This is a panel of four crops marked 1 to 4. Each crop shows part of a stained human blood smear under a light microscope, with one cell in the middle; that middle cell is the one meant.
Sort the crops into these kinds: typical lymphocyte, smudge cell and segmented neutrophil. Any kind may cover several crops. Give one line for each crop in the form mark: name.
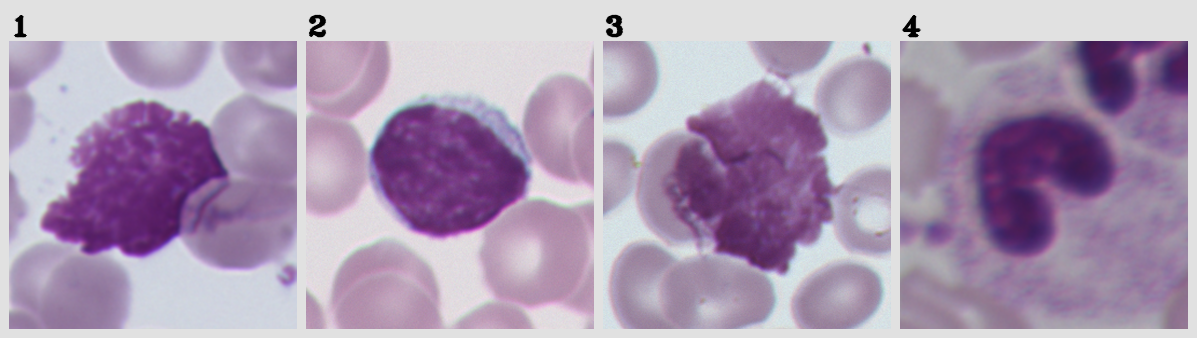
1: smudge cell
2: typical lymphocyte
3: smudge cell
4: segmented neutrophil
